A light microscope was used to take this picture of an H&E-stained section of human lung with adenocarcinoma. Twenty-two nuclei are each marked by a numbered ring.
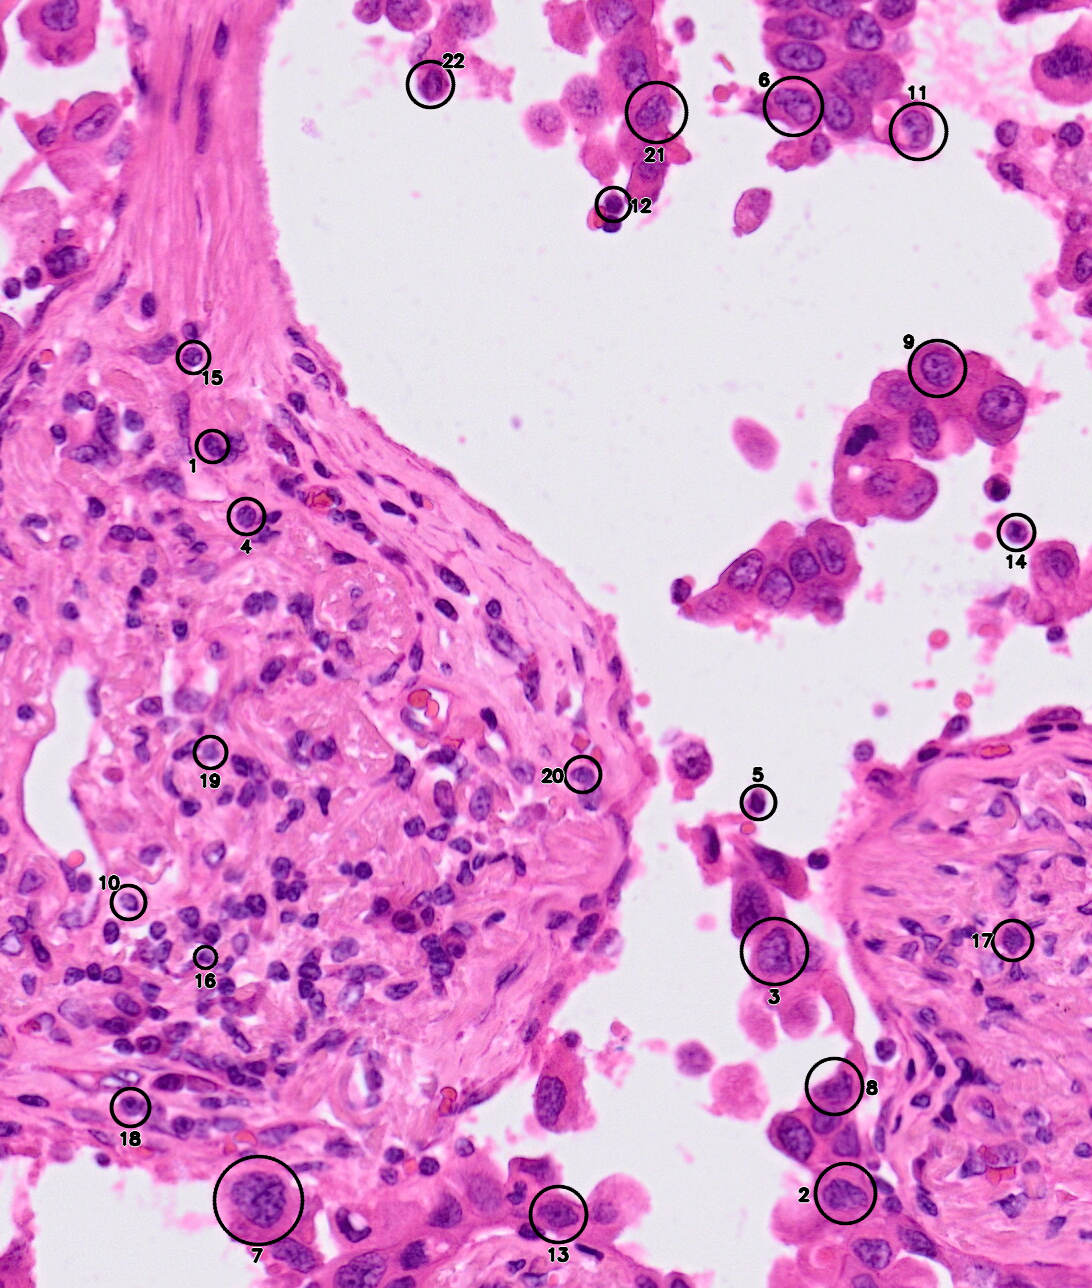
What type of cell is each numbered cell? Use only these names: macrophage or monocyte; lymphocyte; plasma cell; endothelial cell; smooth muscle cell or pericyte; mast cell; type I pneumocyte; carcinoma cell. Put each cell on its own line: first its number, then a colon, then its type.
1: lymphocyte
2: carcinoma cell
3: carcinoma cell
4: lymphocyte
5: lymphocyte
6: carcinoma cell
7: carcinoma cell
8: carcinoma cell
9: carcinoma cell
10: lymphocyte
11: carcinoma cell
12: lymphocyte
13: carcinoma cell
14: lymphocyte
15: lymphocyte
16: lymphocyte
17: plasma cell
18: lymphocyte
19: lymphocyte
20: lymphocyte
21: carcinoma cell
22: macrophage or monocyte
